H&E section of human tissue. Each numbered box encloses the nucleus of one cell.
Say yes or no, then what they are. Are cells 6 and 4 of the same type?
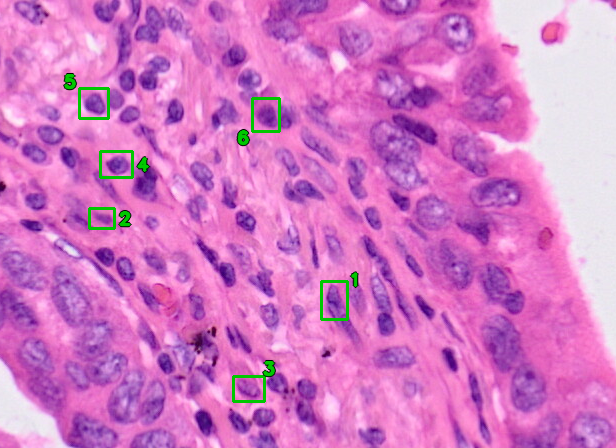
No, cell 6 is a plasma cell and cell 4 is a lymphocyte.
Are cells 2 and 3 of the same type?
Yes, both are plasma cells.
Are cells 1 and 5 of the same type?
No, cell 1 is a smooth muscle cell or pericyte and cell 5 is a lymphocyte.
